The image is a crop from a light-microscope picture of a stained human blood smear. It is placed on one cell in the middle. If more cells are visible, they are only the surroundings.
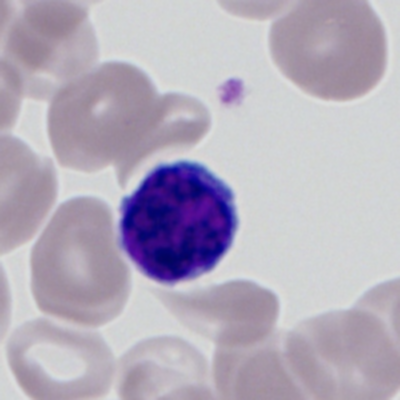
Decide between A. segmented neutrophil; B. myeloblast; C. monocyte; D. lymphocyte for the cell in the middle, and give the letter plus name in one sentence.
That middle cell is a lymphocyte, and option D is therefore correct.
